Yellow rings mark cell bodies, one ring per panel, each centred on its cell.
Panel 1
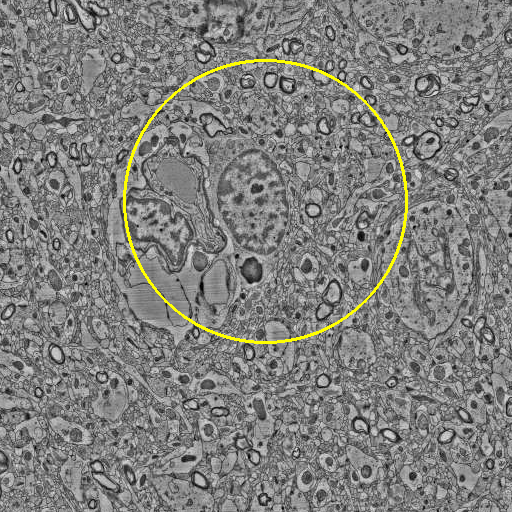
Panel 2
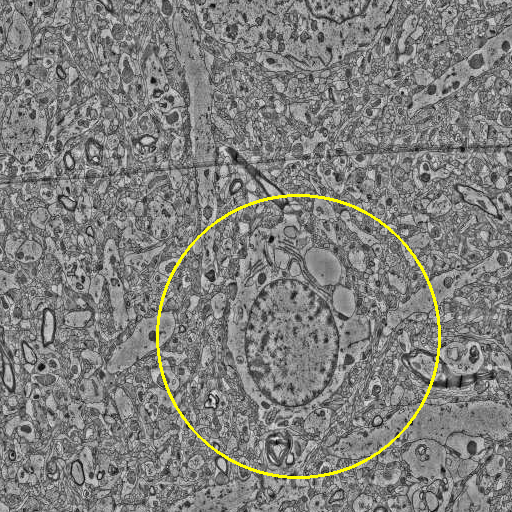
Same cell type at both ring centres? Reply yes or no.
no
